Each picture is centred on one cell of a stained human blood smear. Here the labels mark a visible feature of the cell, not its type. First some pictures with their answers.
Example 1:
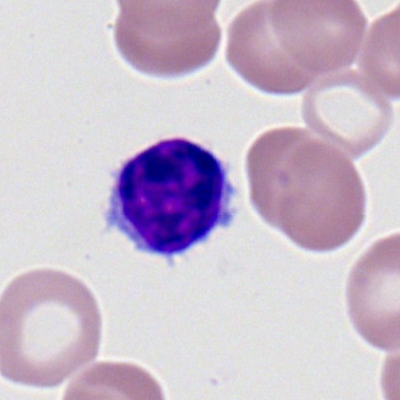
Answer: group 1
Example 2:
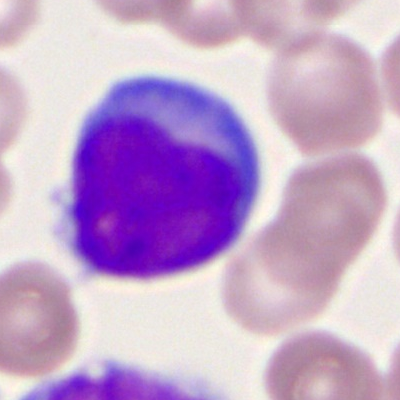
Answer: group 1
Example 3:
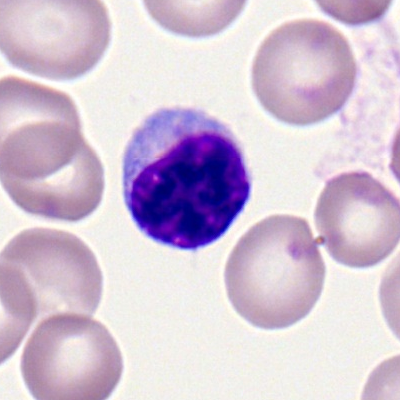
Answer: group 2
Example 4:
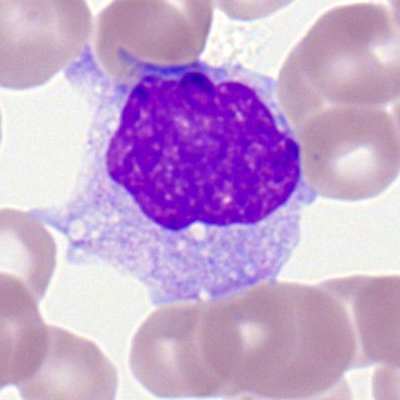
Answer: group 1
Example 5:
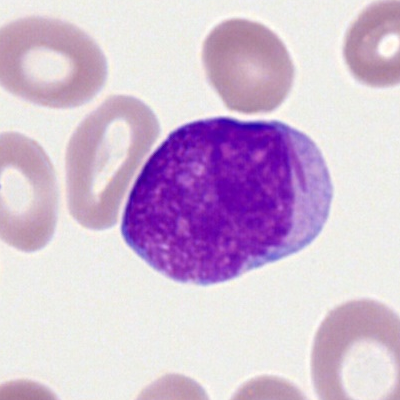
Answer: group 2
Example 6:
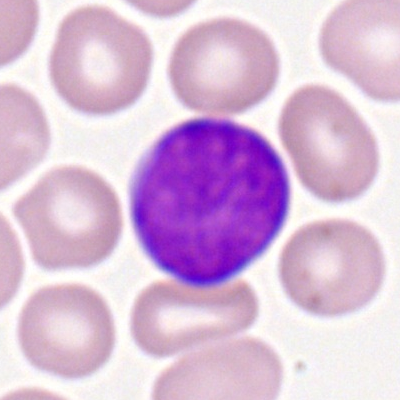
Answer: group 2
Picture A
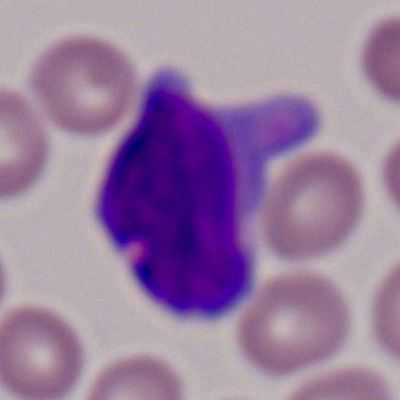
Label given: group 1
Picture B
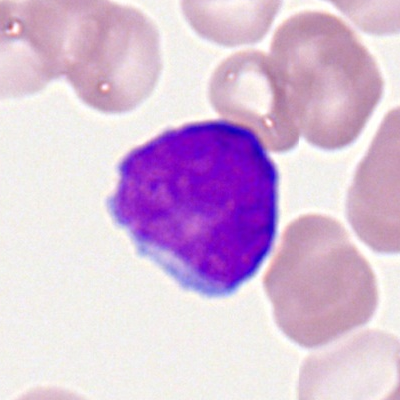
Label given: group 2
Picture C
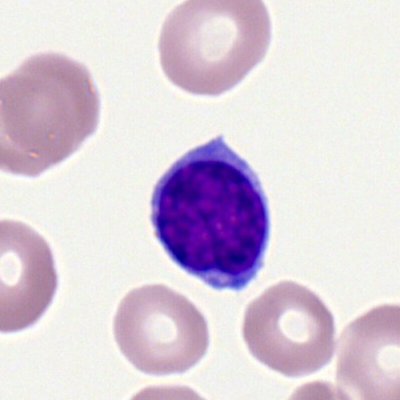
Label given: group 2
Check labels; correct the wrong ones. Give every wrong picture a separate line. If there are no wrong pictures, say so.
Wrong: B (group 2); correct: group 1
Wrong: C (group 2); correct: group 1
